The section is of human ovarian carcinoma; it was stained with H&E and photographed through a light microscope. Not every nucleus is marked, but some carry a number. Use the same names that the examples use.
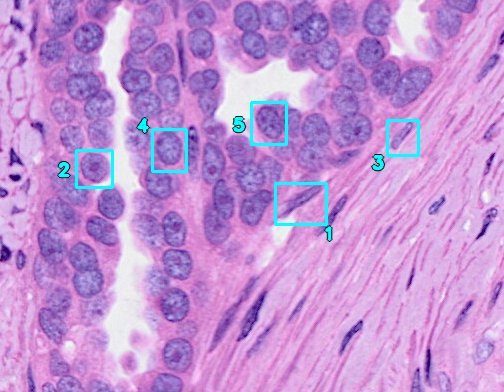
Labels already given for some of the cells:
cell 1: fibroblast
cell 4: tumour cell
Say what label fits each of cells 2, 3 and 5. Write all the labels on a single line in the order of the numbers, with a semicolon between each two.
tumour cell; fibroblast; tumour cell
